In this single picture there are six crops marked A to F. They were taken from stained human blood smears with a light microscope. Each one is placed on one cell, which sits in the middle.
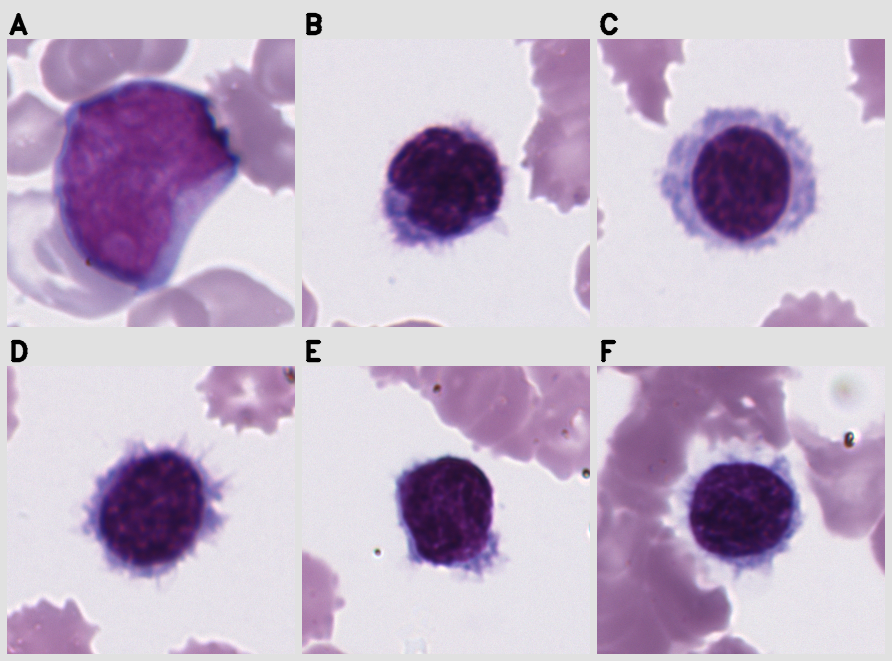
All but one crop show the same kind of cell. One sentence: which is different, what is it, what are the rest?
There is a myeloblast in crop A, while all the other crops show hairy cells.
